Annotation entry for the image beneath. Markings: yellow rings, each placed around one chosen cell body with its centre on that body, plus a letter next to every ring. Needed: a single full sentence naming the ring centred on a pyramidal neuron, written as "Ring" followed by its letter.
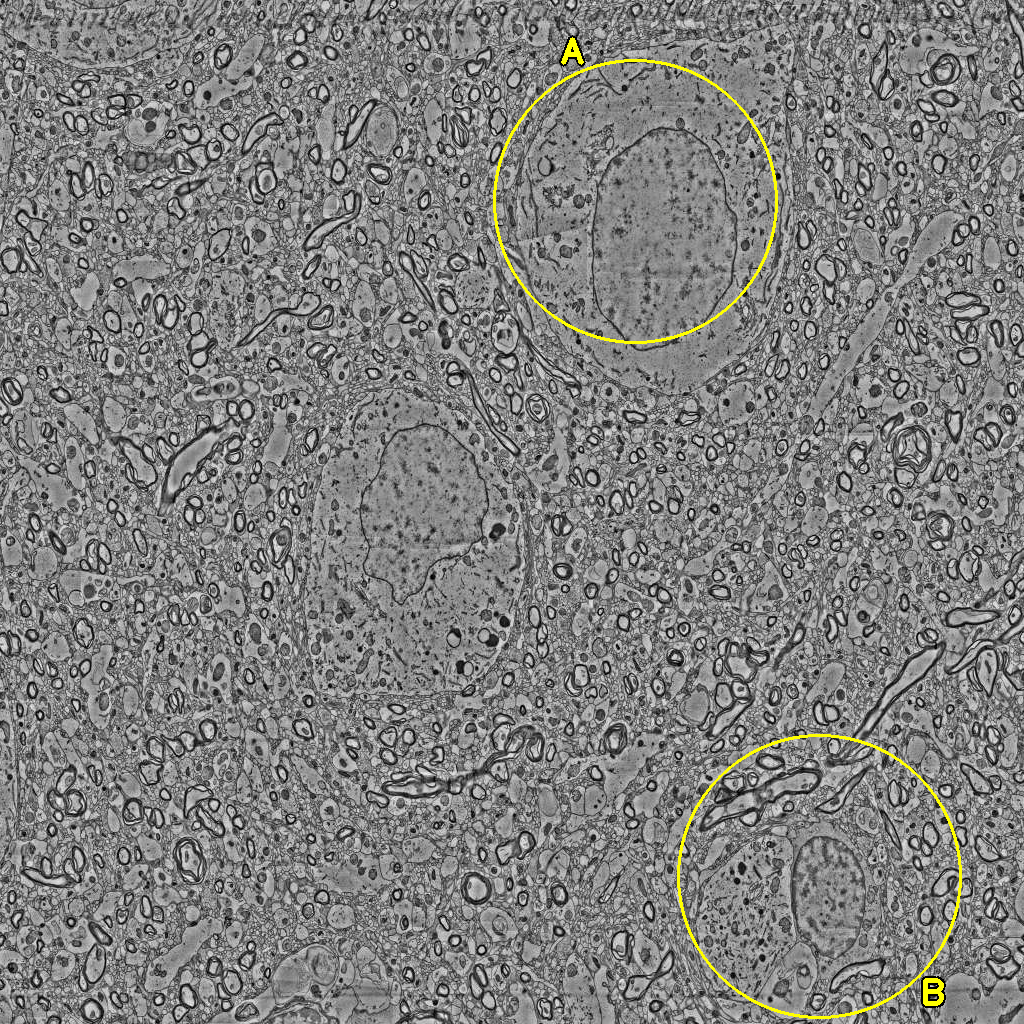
The image shows the cell in question at the centre of Ring A.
